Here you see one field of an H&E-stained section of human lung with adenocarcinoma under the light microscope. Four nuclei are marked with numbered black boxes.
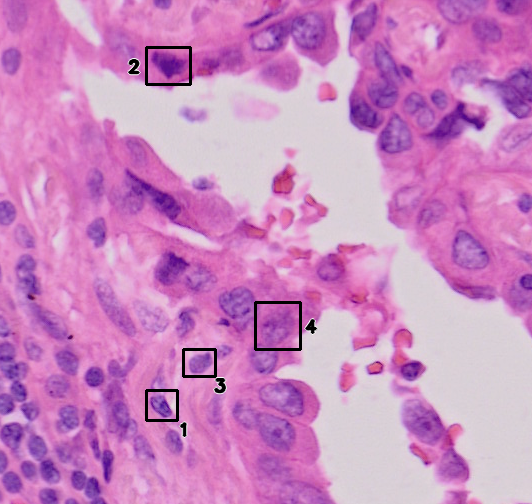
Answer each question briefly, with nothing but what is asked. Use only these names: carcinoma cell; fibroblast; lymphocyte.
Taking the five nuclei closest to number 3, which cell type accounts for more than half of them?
fibroblast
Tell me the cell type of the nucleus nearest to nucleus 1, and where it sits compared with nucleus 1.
a fibroblast above nucleus 1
